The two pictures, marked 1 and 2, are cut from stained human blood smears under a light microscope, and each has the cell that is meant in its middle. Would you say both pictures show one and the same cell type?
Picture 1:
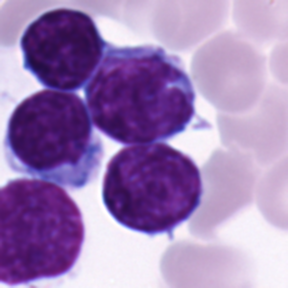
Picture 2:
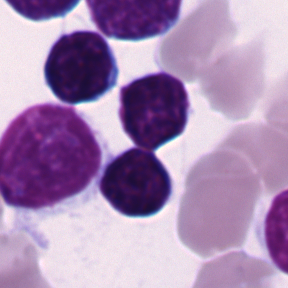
yes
